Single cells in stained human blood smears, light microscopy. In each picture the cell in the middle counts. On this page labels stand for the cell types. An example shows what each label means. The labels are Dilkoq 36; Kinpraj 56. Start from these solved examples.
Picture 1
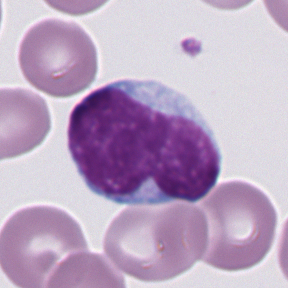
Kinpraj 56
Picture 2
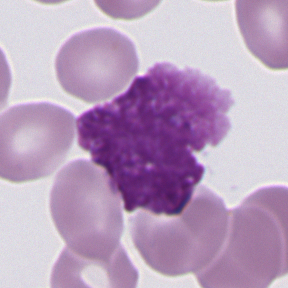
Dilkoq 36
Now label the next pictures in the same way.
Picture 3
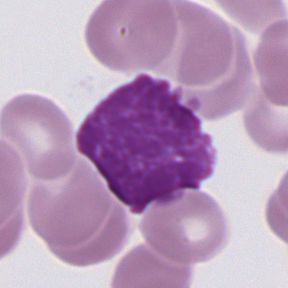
Dilkoq 36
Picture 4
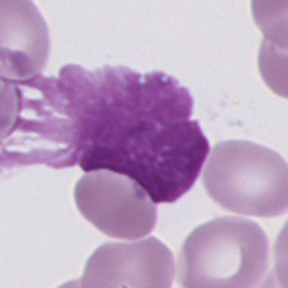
Dilkoq 36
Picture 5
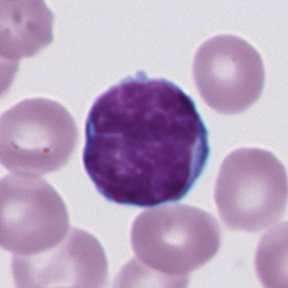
Kinpraj 56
